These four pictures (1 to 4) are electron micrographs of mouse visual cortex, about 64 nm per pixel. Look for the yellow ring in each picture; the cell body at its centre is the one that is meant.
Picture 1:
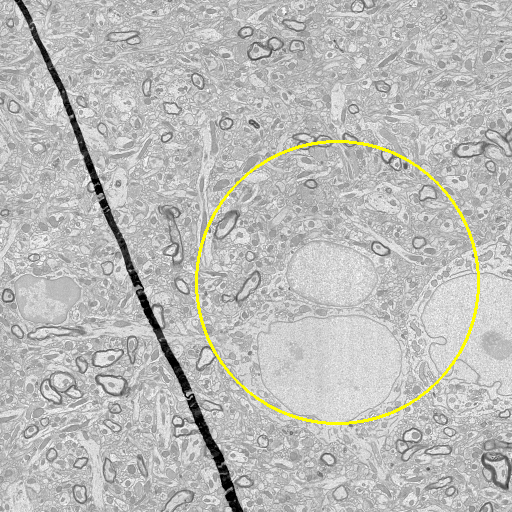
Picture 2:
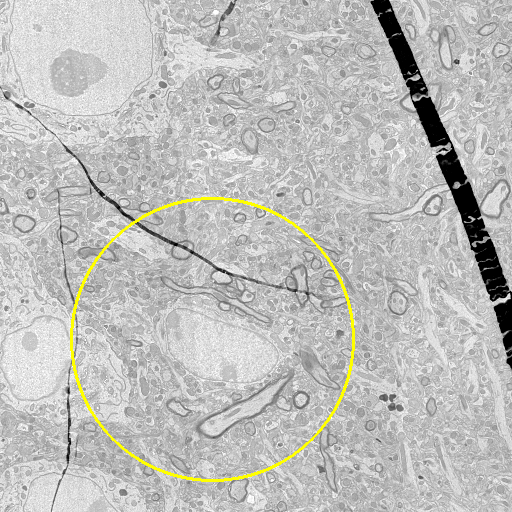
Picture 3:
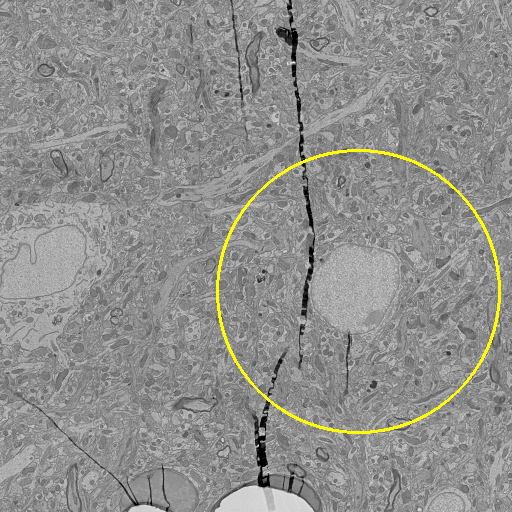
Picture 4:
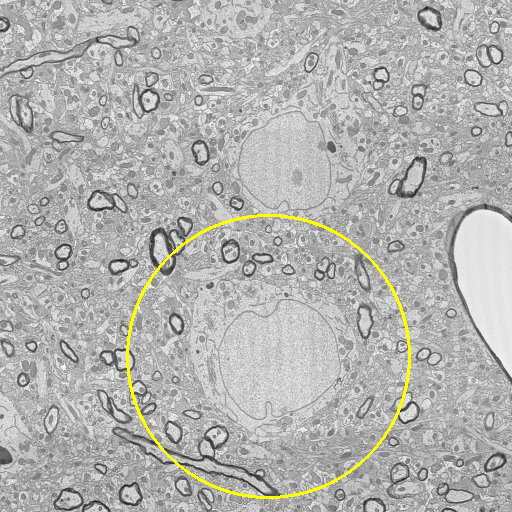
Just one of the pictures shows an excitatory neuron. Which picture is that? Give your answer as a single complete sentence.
Picture 4 is the one that shows the excitatory neuron.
